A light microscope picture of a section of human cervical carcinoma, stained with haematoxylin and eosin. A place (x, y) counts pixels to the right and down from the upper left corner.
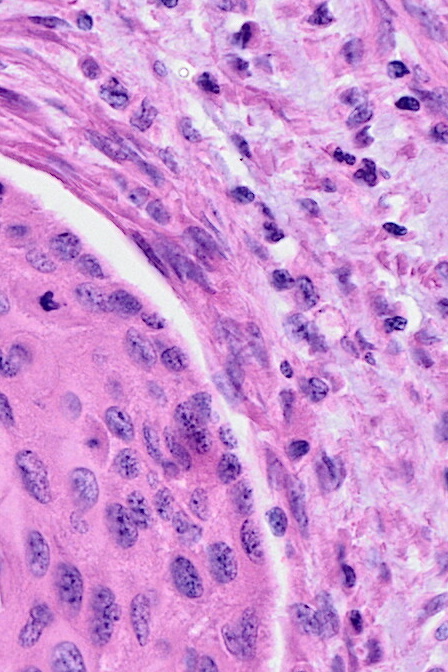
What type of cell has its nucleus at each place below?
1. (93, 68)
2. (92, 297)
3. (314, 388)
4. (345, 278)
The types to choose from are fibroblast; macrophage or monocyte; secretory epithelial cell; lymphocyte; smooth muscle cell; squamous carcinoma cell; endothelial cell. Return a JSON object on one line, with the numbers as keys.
{"1": "macrophage or monocyte", "2": "squamous carcinoma cell", "3": "macrophage or monocyte", "4": "fibroblast"}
